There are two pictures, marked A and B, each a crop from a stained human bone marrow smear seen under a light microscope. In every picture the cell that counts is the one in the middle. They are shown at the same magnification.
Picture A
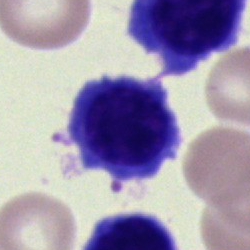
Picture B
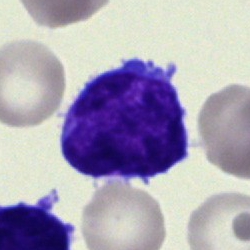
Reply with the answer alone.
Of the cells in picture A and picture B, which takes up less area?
A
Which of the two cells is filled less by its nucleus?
A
